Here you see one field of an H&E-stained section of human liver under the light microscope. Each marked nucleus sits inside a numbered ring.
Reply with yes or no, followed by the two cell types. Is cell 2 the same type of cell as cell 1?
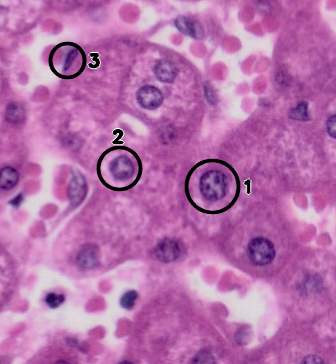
Yes, both are hepatocytes.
